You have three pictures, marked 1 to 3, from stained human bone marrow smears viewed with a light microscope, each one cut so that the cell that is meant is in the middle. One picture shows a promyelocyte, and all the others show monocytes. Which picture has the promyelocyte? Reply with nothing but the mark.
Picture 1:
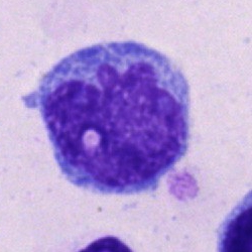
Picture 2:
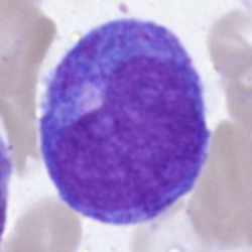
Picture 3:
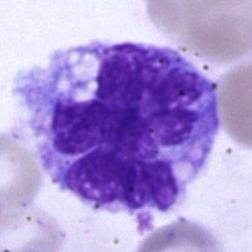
2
